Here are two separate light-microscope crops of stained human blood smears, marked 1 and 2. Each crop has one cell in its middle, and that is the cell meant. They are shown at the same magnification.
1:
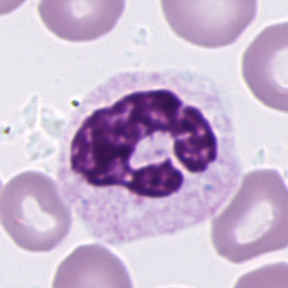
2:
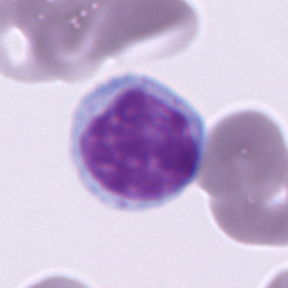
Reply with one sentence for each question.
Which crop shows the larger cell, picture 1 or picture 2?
The cell in picture 1 is larger, with about 1.5 times the area of the one in picture 2.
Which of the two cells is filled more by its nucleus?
The nucleus fills more of the cell in picture 2 than in picture 1.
